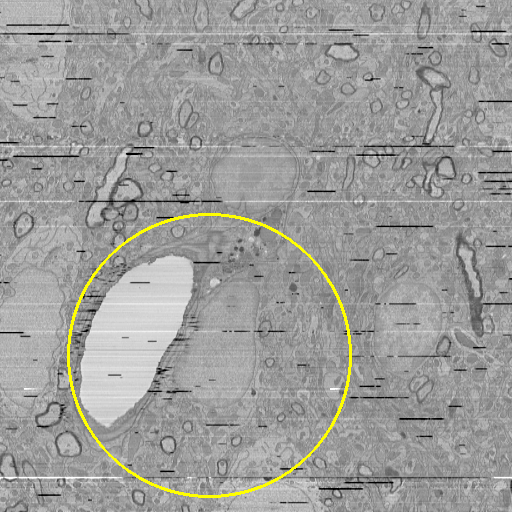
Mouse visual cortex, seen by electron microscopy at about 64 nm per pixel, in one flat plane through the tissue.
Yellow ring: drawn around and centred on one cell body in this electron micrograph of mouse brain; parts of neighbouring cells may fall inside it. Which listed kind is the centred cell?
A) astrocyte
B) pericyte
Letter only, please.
A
